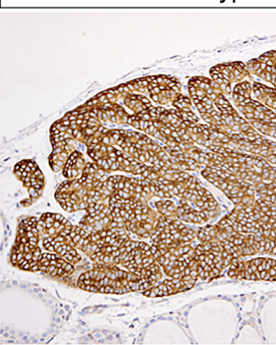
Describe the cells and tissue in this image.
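A compact parathyroid gland of tightly packed small epithelial cells sits among round follicles of the neighbouring thyroid. The gland cells are arranged in anastomosing cords and nests separated by thin septa, each cell with a round nucleus and a rim of cytoplasm that is stained deep brown. The brown stain fills almost the entire gland, whereas the surrounding follicles and connective tissue take only the pale blue counterstain.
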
